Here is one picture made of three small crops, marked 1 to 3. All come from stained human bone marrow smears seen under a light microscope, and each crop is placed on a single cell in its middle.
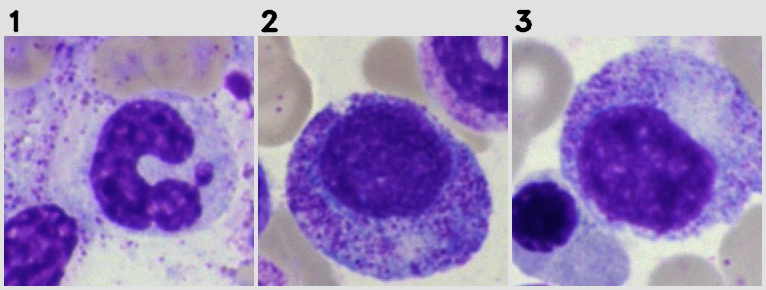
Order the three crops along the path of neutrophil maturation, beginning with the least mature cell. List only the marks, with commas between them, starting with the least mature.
2, 3, 1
